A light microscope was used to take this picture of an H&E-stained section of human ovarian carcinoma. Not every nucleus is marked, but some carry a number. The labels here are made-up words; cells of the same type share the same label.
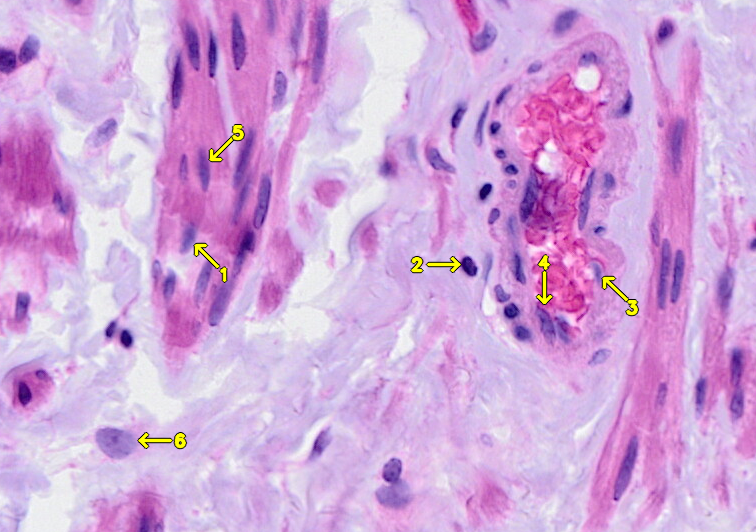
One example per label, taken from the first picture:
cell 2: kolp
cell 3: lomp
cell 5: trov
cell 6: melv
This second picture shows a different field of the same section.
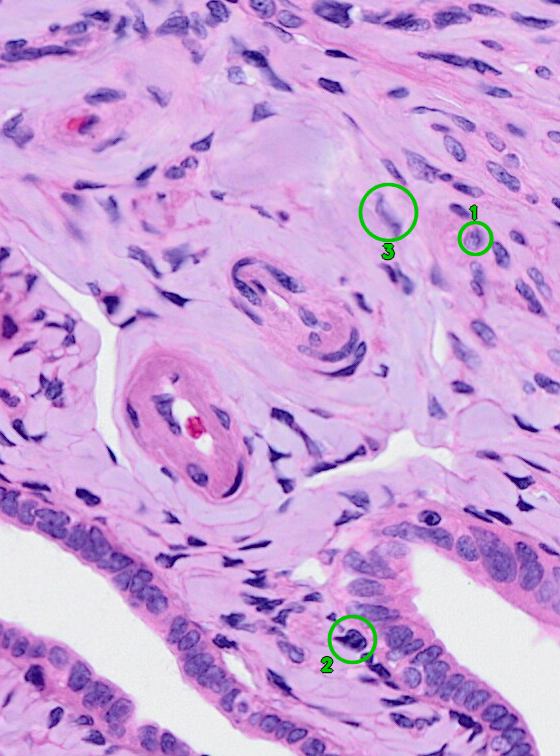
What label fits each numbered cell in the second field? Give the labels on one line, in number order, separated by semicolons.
trov; kolp; melv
